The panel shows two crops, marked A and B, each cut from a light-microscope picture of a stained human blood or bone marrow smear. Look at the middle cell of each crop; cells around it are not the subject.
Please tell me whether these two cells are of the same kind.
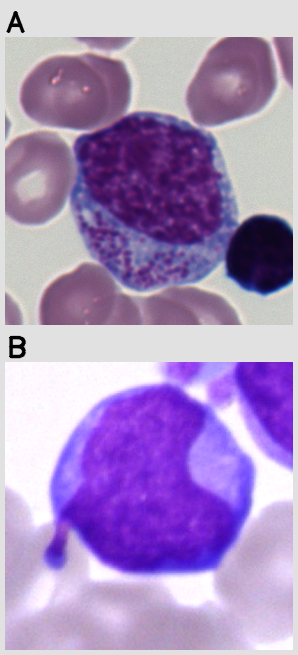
no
